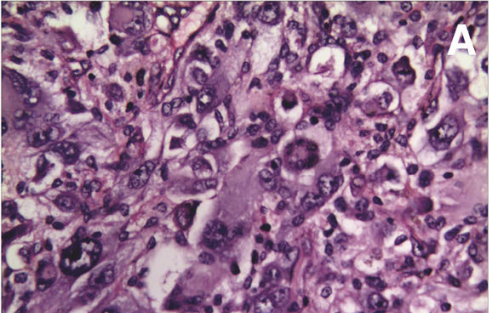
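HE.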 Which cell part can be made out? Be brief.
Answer: Obvious nucleolus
